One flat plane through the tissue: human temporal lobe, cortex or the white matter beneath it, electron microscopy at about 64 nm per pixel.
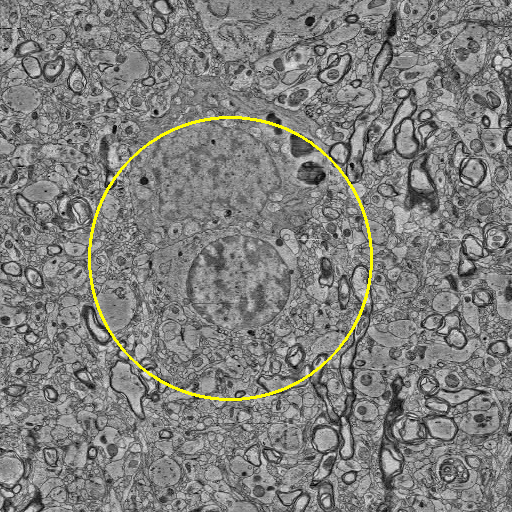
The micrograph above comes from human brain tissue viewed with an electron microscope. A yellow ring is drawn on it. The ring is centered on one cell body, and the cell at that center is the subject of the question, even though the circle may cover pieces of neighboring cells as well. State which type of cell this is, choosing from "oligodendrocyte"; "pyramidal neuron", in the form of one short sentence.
The cell the ring is centered on is an oligodendrocyte.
